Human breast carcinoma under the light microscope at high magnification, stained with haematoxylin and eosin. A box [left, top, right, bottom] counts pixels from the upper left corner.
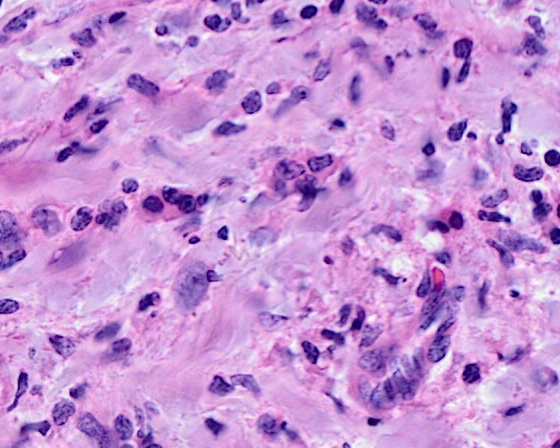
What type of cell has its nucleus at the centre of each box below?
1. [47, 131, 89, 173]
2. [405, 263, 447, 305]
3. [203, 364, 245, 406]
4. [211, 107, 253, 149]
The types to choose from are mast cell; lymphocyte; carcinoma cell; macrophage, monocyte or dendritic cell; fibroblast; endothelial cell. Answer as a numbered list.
1. lymphocyte
2. endothelial cell
3. lymphocyte
4. lymphocyte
